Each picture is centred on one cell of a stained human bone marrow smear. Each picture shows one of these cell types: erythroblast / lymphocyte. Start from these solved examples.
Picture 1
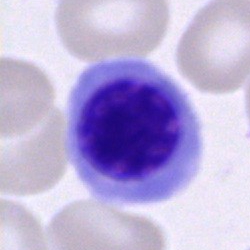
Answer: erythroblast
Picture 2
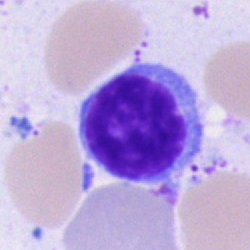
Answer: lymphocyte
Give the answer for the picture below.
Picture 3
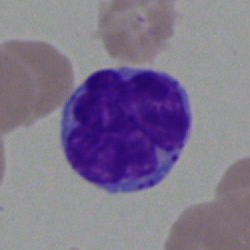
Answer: lymphocyte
